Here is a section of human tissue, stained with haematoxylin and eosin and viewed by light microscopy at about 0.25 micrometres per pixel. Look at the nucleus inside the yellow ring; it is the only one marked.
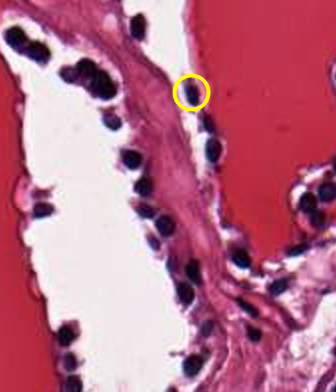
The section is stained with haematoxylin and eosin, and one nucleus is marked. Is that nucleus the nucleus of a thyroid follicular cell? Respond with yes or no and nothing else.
yes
